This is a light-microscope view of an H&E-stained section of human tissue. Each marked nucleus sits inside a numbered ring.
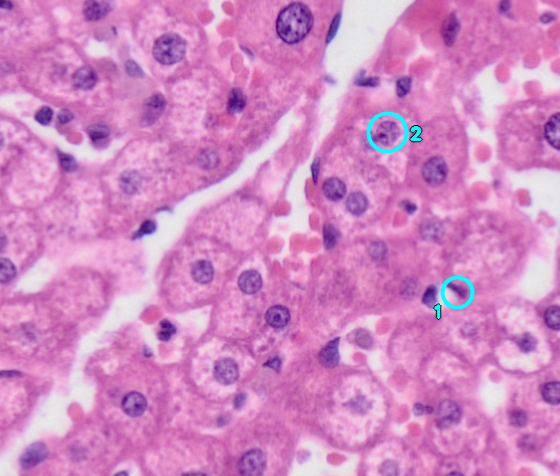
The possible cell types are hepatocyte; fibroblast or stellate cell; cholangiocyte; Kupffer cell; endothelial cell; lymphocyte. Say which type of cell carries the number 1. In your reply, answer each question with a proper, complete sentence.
The cell marked with number 1 is an endothelial cell.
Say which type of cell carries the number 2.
Cell 2, among those numbered, is a hepatocyte.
